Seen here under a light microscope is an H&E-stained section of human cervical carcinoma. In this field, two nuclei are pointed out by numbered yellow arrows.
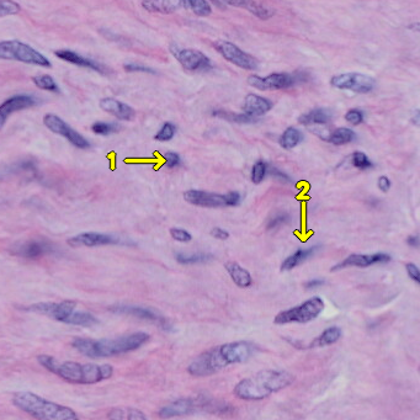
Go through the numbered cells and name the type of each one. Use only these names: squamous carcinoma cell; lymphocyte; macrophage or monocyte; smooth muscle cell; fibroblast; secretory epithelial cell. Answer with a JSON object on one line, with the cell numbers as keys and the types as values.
{"1": "smooth muscle cell", "2": "fibroblast"}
